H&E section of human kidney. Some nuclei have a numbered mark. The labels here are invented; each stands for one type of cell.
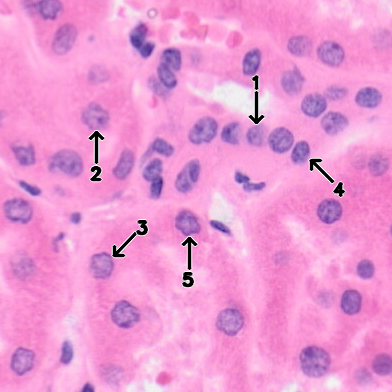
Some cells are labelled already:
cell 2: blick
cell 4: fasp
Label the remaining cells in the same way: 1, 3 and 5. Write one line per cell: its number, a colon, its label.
1: fasp
3: blick
5: blick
